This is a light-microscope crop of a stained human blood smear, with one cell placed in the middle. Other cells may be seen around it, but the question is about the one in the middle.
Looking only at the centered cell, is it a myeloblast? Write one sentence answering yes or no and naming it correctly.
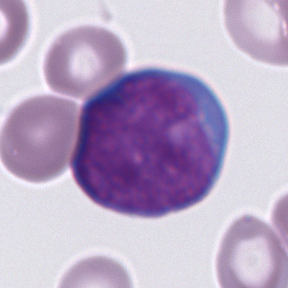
Yes, it is a myeloblast that is seen at the centre of the crop.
